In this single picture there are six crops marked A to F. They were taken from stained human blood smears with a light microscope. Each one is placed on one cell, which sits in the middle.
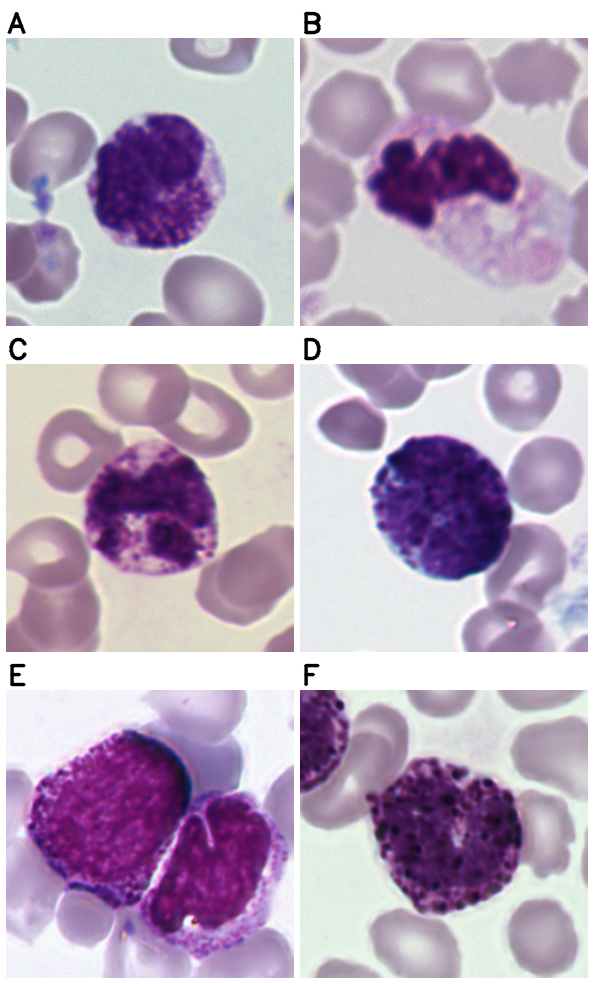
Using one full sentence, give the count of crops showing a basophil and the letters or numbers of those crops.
These four crops in the set show basophils: A, C, D and F.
